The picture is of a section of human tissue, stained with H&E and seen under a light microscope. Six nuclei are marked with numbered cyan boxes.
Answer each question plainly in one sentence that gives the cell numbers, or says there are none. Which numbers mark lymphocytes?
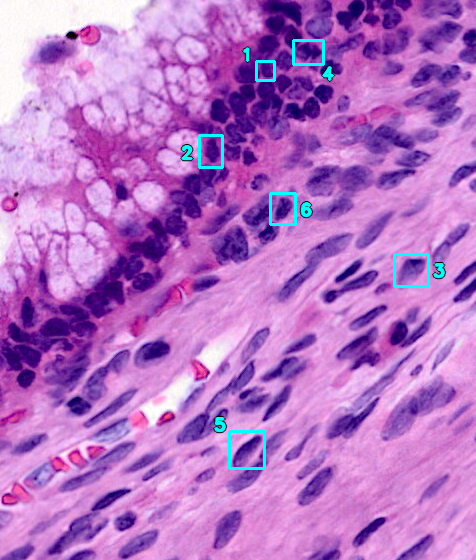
Only nucleus 6 belongs to a lymphocyte; the other numbered nuclei do not.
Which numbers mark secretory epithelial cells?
The cells that have been numbered 1, 2 and 4 are secretory epithelial cells.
